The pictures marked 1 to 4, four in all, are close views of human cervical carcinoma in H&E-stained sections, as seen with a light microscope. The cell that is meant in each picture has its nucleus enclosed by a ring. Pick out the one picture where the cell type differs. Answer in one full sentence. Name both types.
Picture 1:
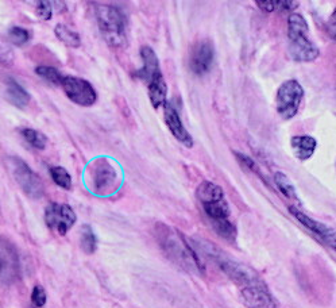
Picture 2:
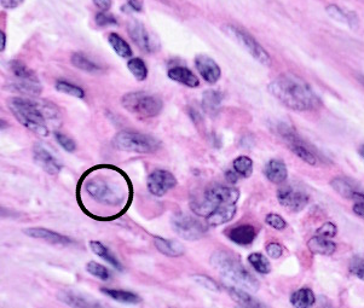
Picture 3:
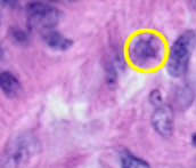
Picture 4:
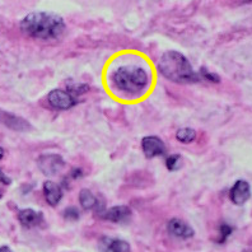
The different one is picture 2; it shows an endothelial cell, whereas all the others show “macrophages or monocytes”.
